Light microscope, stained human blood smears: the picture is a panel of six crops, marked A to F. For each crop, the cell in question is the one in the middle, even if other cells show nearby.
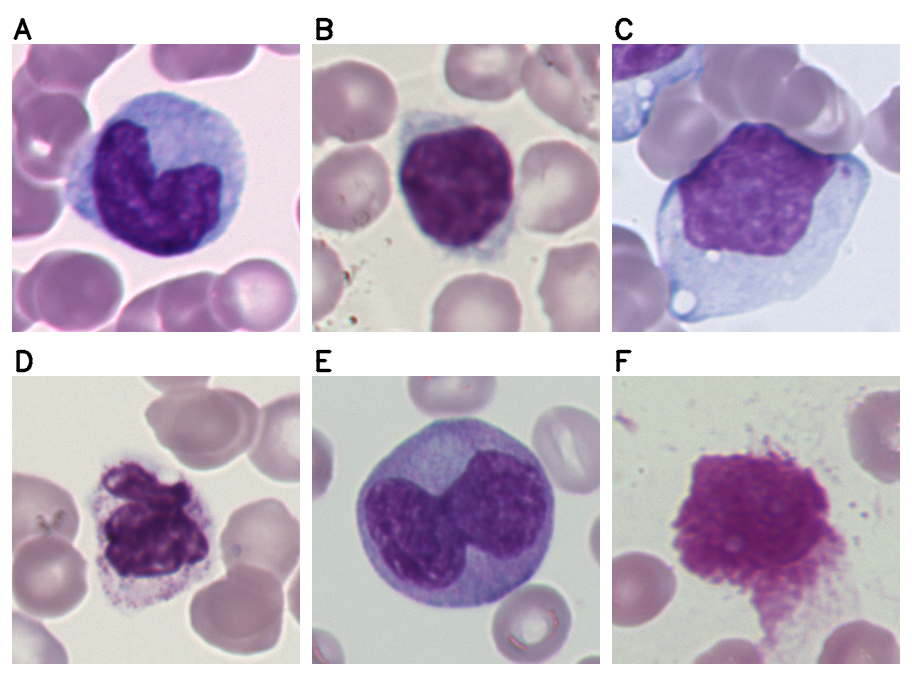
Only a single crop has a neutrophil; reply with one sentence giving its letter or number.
The one crop that shows a neutrophil is crop D.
